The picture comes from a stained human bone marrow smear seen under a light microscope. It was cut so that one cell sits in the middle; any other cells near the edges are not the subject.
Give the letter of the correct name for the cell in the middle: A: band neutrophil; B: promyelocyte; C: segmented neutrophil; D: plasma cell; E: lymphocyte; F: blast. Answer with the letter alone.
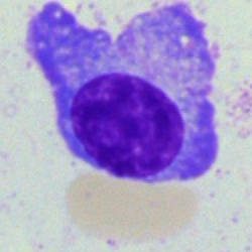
D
